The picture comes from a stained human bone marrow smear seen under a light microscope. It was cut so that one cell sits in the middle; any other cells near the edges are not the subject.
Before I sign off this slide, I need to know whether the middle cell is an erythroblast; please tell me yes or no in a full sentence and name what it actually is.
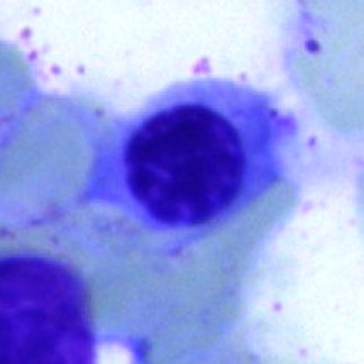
Yes, the cell occupying the center is an erythroblast.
